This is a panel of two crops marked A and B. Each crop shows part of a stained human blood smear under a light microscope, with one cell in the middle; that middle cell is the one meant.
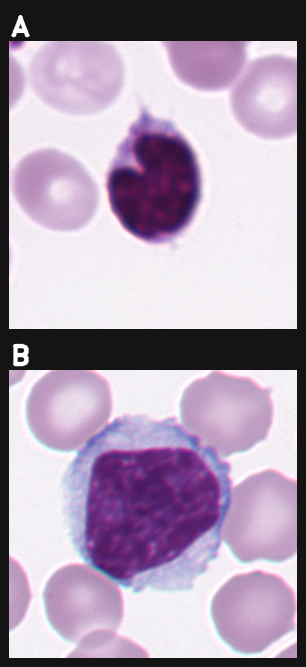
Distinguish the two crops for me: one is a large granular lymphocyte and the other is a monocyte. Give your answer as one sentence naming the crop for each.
Identified in crop A is a large granular lymphocyte, with a monocyte identified in crop B.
